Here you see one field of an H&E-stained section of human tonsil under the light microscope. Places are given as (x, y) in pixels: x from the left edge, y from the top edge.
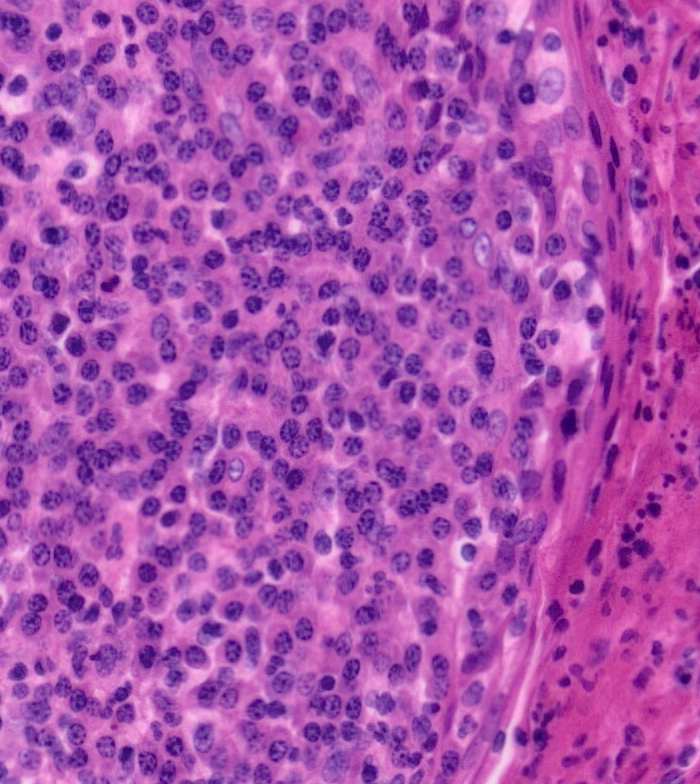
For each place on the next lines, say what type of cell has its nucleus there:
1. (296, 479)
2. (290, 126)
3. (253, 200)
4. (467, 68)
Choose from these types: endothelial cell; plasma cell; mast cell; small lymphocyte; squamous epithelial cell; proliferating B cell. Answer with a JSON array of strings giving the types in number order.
["plasma cell", "plasma cell", "plasma cell", "squamous epithelial cell"]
